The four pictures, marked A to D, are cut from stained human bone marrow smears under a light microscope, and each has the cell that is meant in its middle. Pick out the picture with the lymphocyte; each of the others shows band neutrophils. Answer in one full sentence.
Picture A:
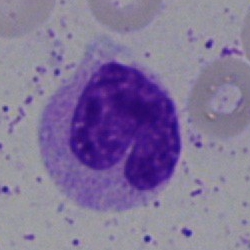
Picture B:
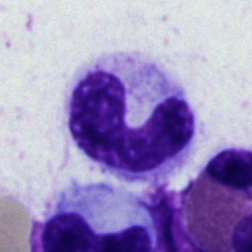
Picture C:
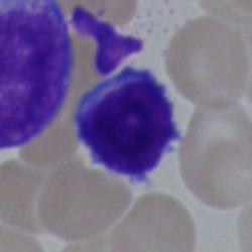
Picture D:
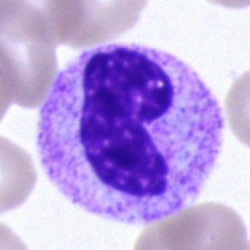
The picture with the lymphocyte is C.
